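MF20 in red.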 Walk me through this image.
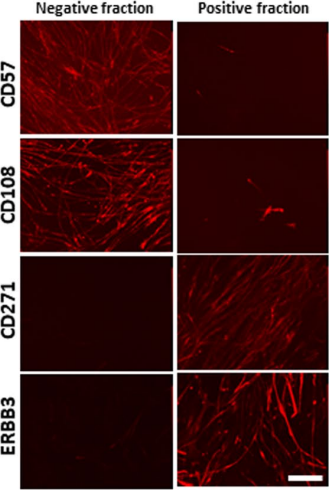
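The images show cultured myogenic cells with long, slender red myotubes densely covering some fields. In the other fields the red staining is sparse, with only a few short elongated structures or almost none.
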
